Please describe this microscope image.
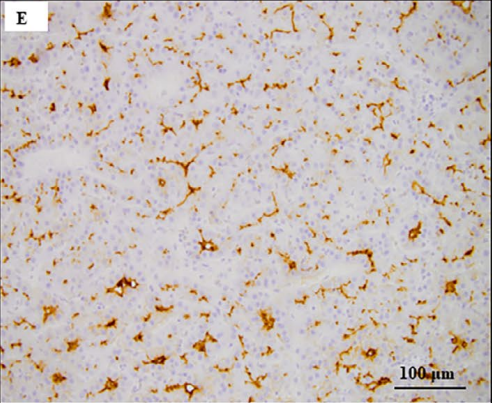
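Sheets and plates of polygonal tumor cells with pale cytoplasm and round blue nuclei are seen, with a few small round pale lumens scattered among them. The cells' own cytoplasm stays unstained, so the brown pattern traces the narrow channels between liver-type tumor cells, a pericanalicular pattern.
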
